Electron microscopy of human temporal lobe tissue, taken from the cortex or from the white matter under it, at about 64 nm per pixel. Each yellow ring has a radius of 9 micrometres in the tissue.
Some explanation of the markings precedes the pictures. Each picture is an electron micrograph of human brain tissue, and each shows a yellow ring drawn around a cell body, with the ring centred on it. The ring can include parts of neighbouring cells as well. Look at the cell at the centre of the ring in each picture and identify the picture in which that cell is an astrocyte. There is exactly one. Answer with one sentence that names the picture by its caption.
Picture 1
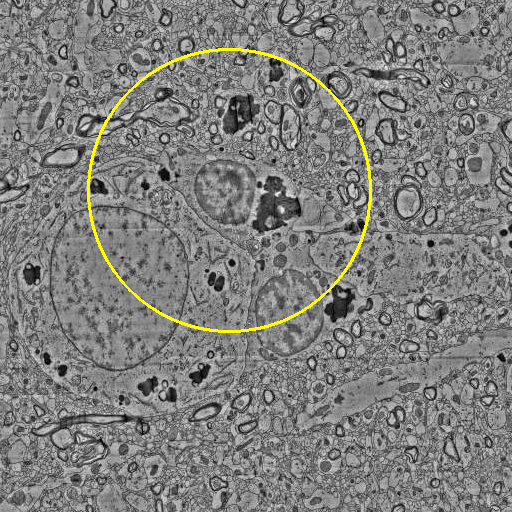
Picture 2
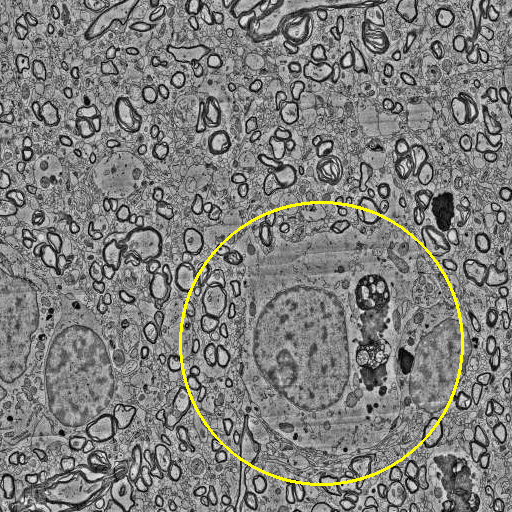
In Picture 2, the cell at the centre of the ring is of that kind.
